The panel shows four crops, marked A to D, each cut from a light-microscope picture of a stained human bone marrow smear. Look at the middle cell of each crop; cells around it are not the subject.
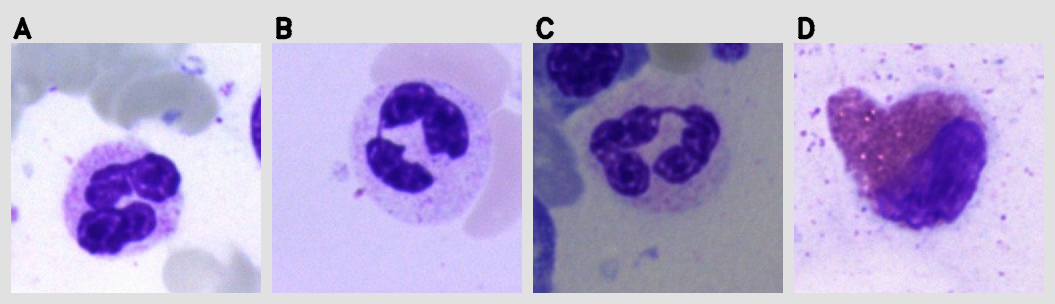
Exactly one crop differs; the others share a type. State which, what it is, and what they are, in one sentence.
Just crop D is an eosinophil; all the other crops show neutrophils.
